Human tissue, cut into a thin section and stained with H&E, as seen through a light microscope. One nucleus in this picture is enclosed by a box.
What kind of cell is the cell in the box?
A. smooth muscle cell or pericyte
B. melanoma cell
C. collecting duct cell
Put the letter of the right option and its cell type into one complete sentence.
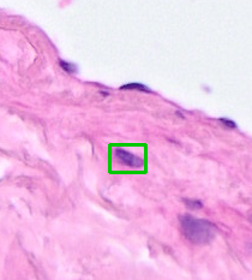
Here the cell in the box is a smooth muscle cell or pericyte, which makes option A correct.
